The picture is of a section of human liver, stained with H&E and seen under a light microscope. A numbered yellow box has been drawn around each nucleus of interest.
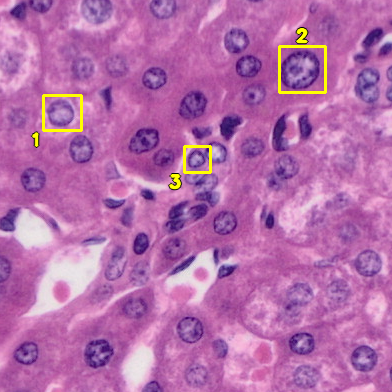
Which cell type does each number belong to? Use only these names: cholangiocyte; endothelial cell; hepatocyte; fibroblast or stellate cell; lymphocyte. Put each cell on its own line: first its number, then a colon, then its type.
1: hepatocyte
2: hepatocyte
3: cholangiocyte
